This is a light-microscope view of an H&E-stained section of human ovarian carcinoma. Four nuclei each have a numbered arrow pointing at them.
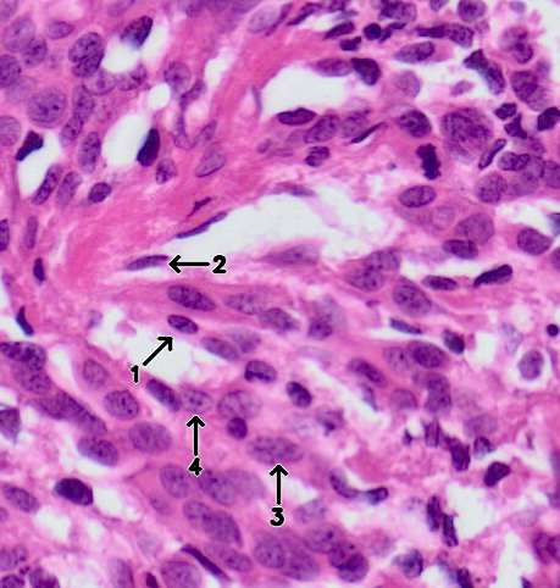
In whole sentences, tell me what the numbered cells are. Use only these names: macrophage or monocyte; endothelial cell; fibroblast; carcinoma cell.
Cell 1 is a macrophage or monocyte. Cell 2 is a fibroblast. Cells 3 and 4 are carcinoma cells.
